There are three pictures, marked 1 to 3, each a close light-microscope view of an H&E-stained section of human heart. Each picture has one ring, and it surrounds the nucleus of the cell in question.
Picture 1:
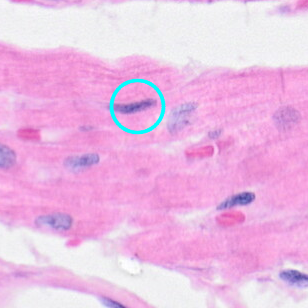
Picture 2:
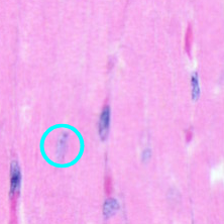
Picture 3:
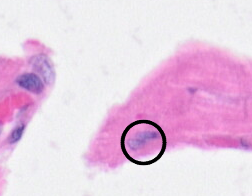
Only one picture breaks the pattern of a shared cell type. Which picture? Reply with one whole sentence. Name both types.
The others show cardiomyocytes, but picture 1 shows an endothelial cell.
